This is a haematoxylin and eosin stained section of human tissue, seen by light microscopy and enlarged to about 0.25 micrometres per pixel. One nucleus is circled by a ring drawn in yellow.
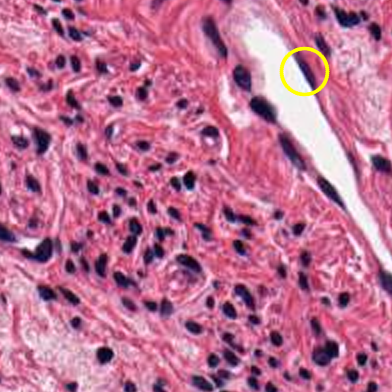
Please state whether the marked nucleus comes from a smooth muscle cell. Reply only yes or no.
no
